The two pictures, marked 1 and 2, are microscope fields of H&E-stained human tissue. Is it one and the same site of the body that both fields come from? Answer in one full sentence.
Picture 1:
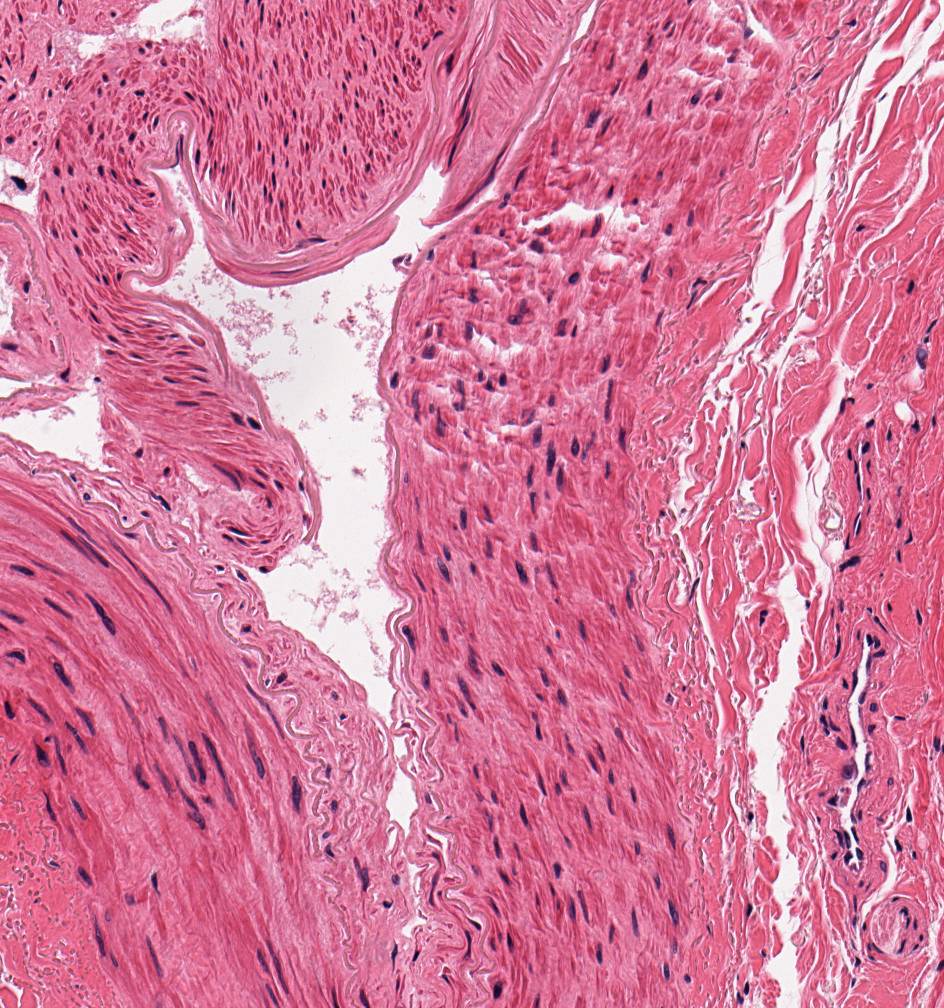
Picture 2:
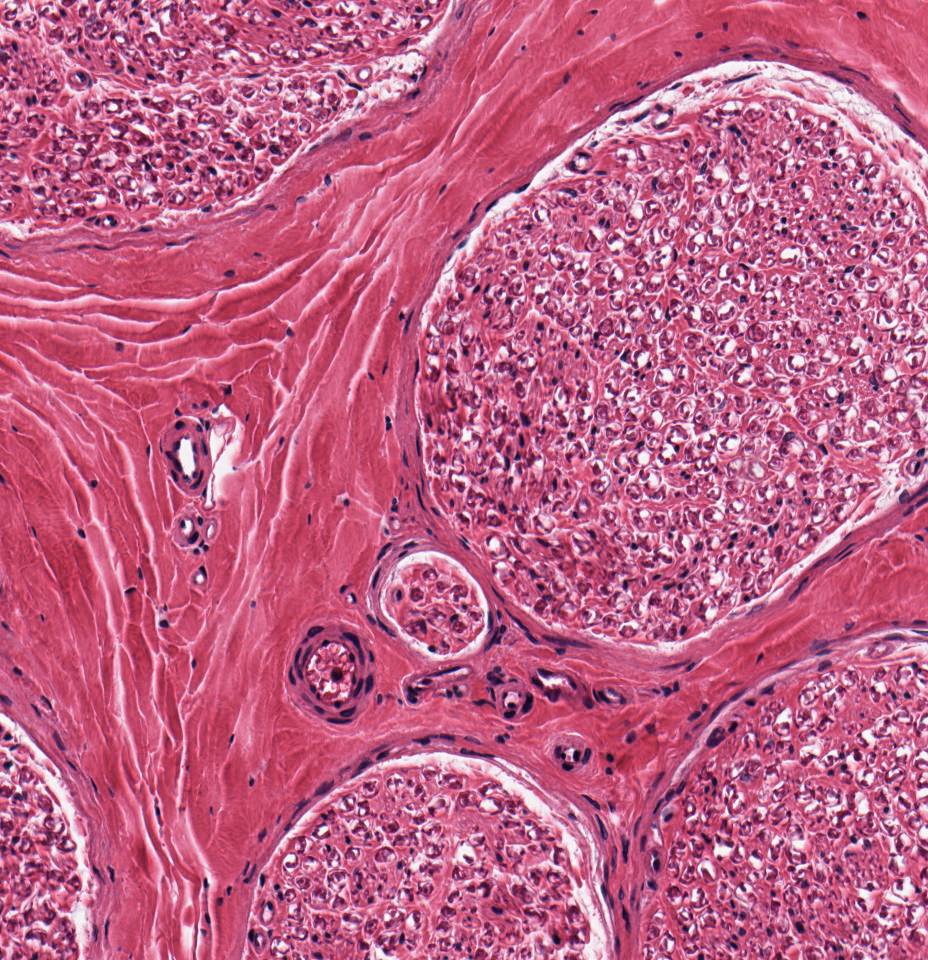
No, picture 1 comes from the tibial artery and picture 2 comes from the tibial nerve.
